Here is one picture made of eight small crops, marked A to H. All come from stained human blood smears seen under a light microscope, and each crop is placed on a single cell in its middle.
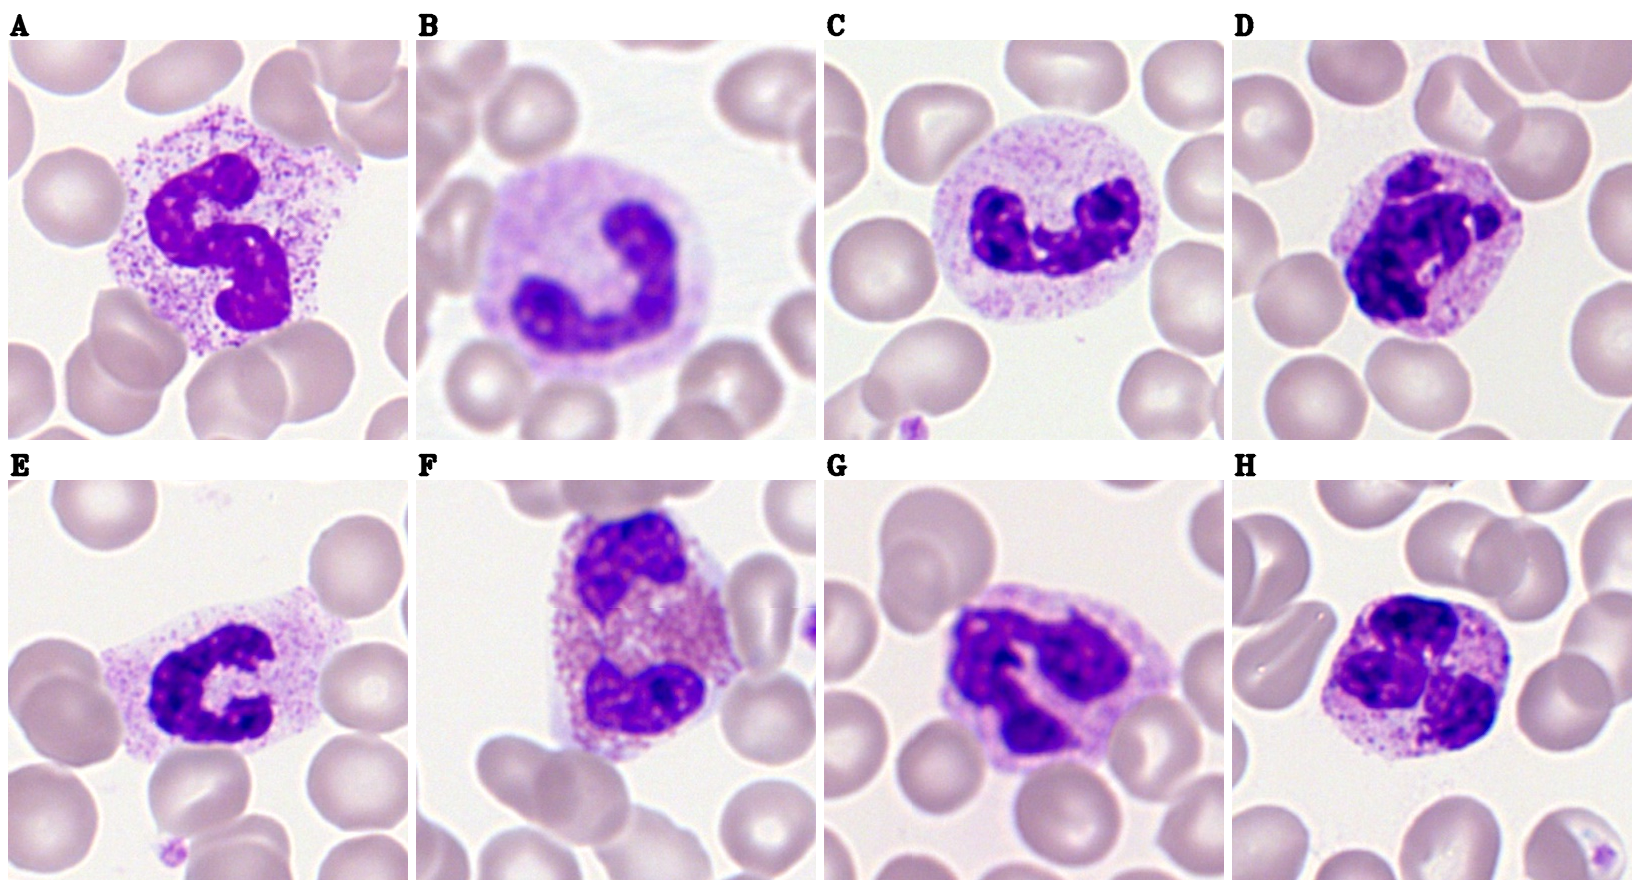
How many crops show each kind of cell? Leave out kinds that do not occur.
band neutrophil: 4
basophil: 3
eosinophil: 1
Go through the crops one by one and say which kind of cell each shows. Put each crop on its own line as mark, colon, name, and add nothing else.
A: band neutrophil
B: band neutrophil
C: band neutrophil
D: basophil
E: band neutrophil
F: eosinophil
G: basophil
H: basophil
